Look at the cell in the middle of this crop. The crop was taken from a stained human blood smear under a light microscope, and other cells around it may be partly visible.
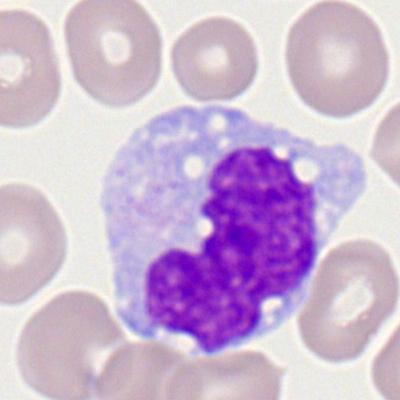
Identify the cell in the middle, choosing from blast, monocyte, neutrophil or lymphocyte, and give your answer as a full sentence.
In short, the cell at the center is a monocyte.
